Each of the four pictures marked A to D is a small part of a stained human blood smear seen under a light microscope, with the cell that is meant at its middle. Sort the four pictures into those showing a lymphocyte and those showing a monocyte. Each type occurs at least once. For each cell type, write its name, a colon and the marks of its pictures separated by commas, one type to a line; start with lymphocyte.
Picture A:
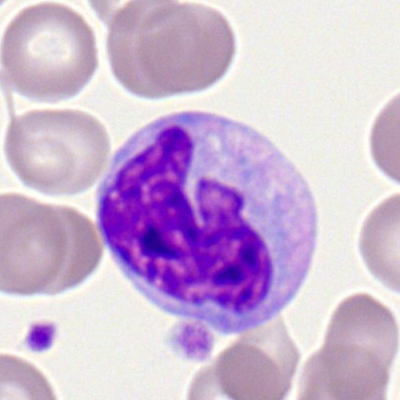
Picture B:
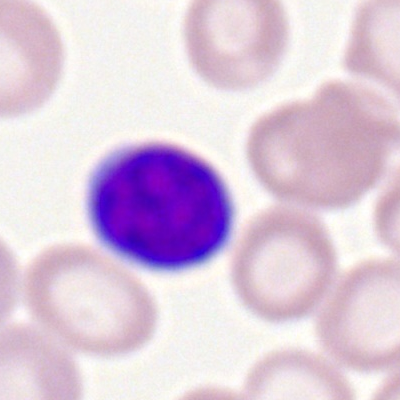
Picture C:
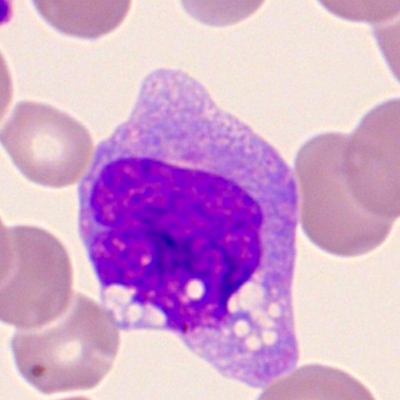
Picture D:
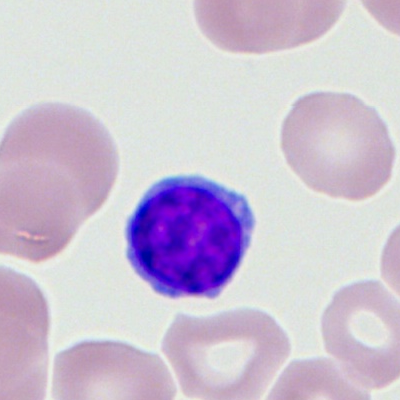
lymphocyte: B, D
monocyte: A, C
